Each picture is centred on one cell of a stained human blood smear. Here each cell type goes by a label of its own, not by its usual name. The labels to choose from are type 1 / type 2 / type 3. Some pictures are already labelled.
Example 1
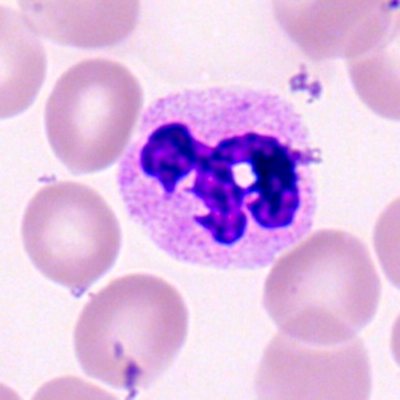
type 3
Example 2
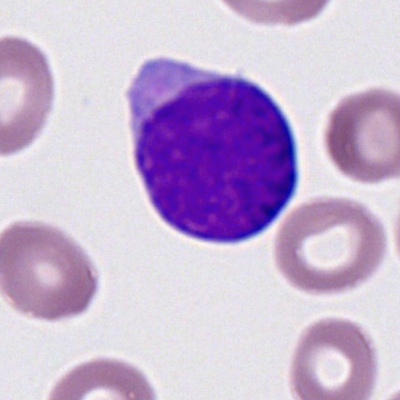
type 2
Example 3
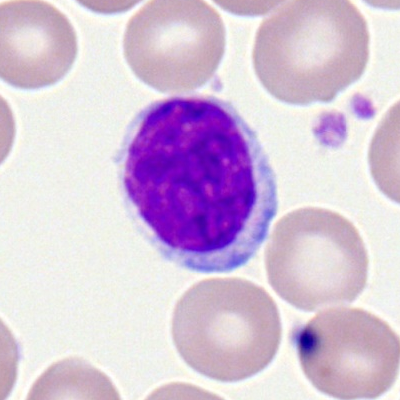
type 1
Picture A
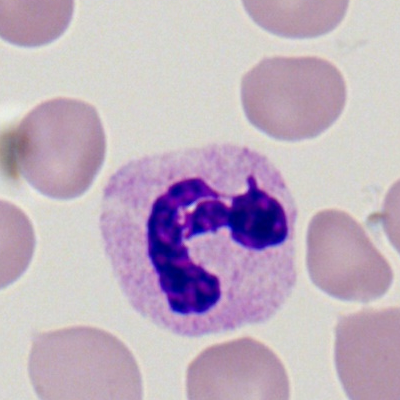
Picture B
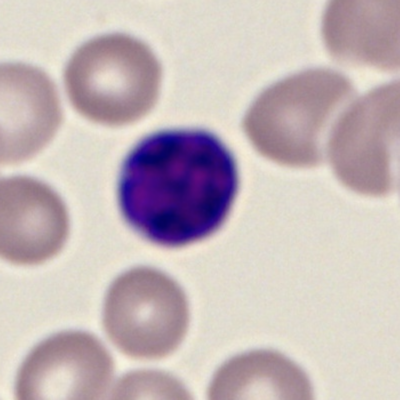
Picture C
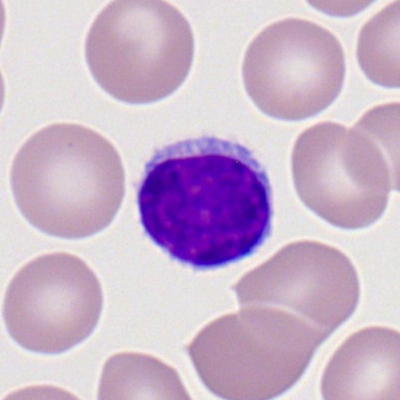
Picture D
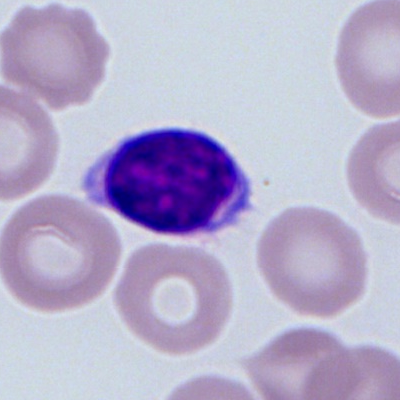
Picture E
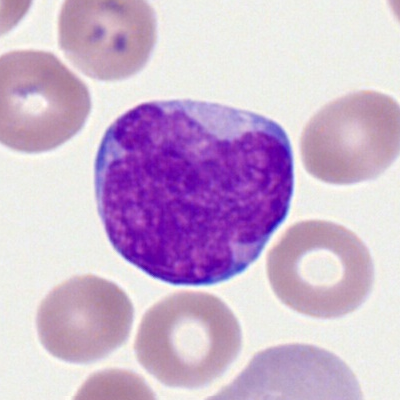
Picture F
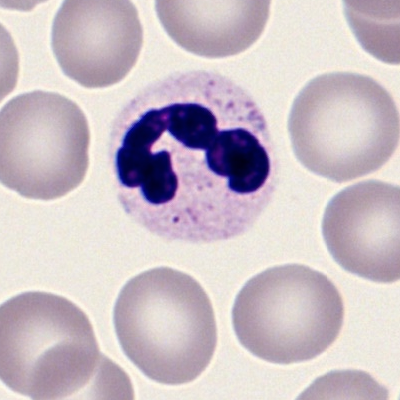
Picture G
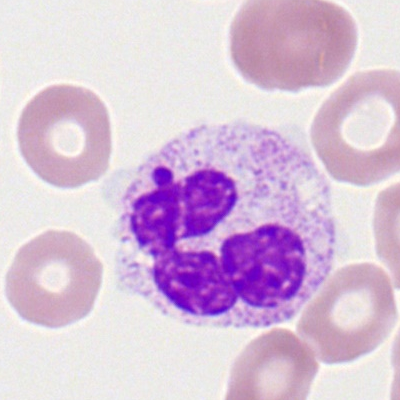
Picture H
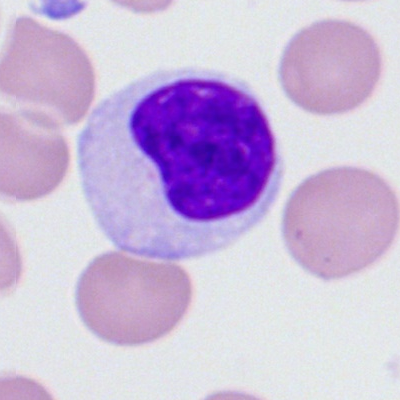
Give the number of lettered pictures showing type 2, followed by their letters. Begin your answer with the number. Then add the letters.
Count: 1 (E)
